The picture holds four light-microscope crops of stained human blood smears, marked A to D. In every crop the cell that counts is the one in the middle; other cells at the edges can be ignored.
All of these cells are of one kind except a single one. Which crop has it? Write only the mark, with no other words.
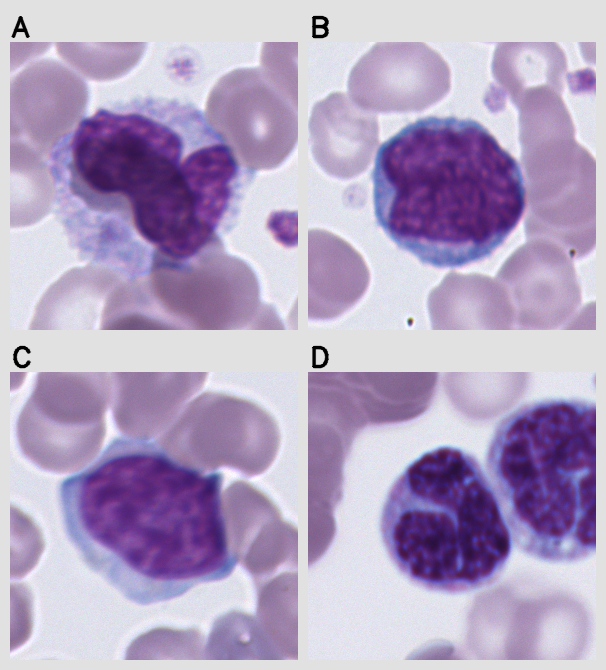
C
